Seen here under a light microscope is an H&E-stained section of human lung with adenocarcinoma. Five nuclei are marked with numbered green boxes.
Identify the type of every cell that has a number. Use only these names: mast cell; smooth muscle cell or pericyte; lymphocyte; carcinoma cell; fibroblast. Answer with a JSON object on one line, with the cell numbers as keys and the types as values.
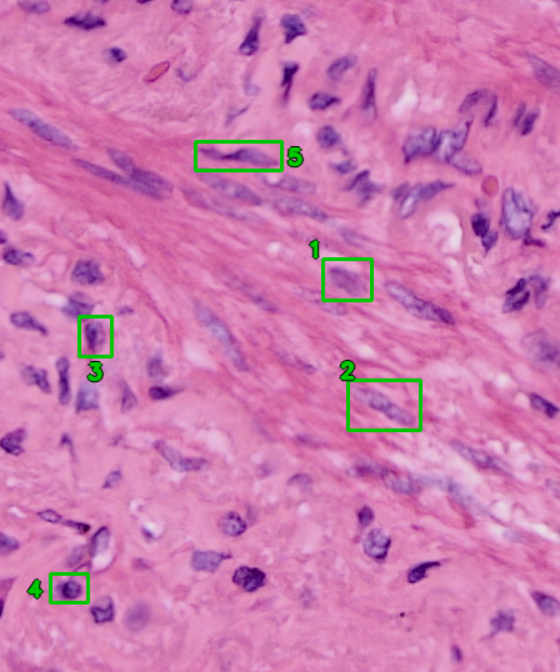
{"1": "smooth muscle cell or pericyte", "2": "smooth muscle cell or pericyte", "3": "mast cell", "4": "lymphocyte", "5": "smooth muscle cell or pericyte"}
